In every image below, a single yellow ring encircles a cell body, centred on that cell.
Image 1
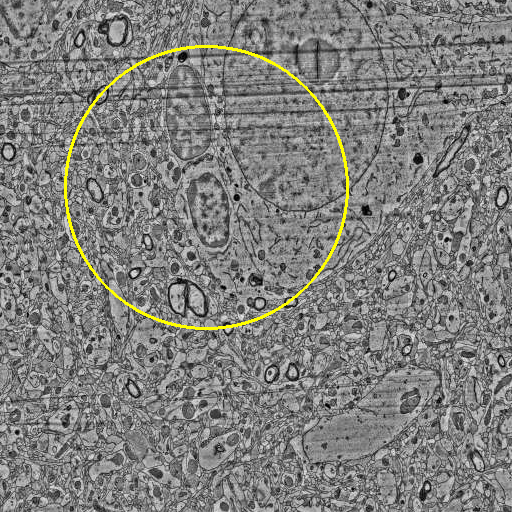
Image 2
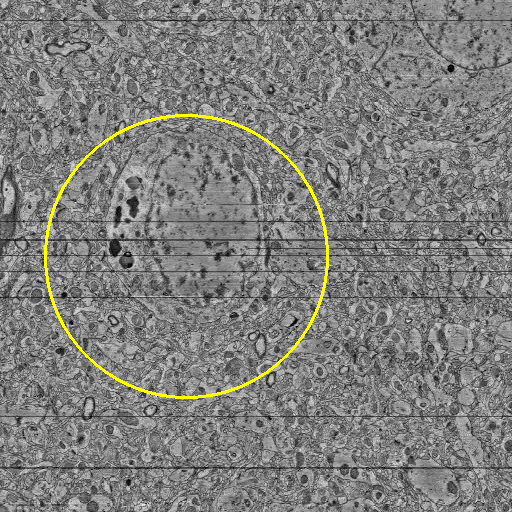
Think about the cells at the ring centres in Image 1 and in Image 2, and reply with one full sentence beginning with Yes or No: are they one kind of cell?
No, the cells centred in the rings of Image 1 and Image 2 are two kinds of cell.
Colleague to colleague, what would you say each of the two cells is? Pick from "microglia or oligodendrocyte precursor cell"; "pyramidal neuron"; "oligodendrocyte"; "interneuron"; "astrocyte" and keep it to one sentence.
The cell in the first picture is a microglial cell or oligodendrocyte precursor cell; the second picture's cell is an interneuron.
